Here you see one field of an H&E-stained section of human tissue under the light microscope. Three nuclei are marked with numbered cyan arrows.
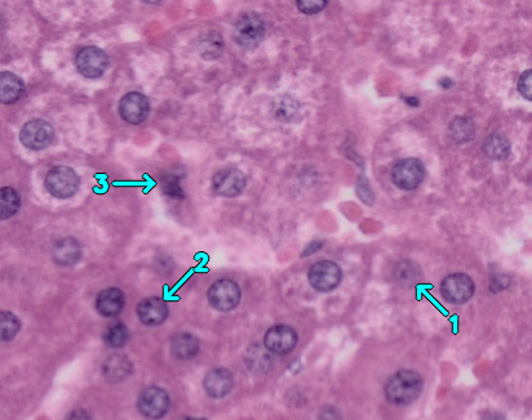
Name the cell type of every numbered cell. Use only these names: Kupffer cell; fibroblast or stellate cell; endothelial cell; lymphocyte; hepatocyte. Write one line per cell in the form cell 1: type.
cell 1: hepatocyte
cell 2: hepatocyte
cell 3: Kupffer cell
